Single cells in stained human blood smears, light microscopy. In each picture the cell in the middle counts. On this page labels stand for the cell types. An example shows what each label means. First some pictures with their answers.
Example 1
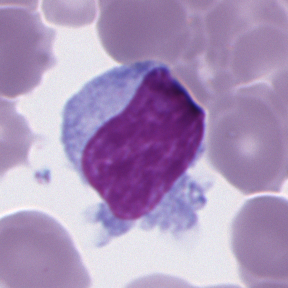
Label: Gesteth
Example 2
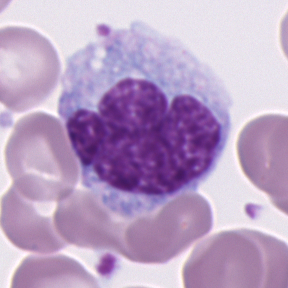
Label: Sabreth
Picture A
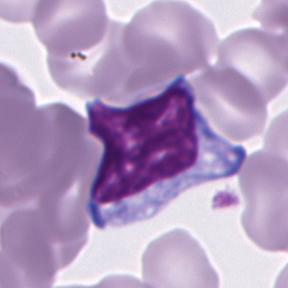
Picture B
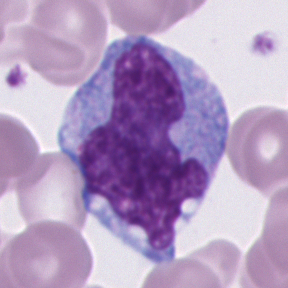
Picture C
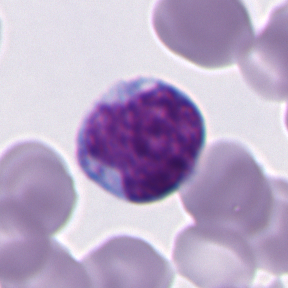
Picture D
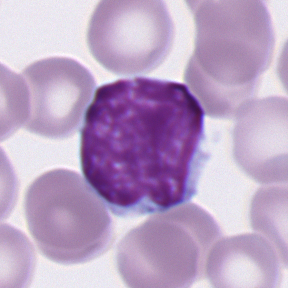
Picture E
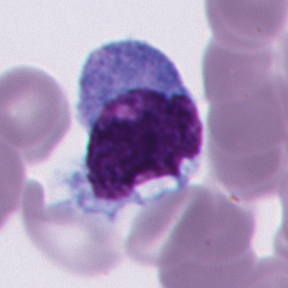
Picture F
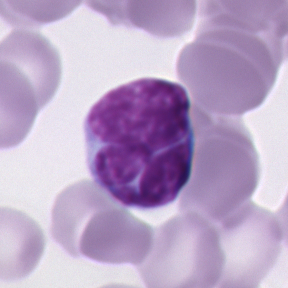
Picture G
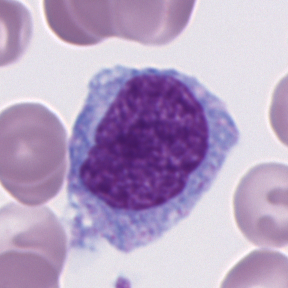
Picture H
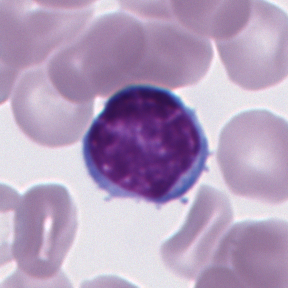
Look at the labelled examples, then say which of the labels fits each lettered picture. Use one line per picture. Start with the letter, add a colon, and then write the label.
A: Gesteth
B: Sabreth
C: Gesteth
D: Gesteth
E: Sabreth
F: Gesteth
G: Sabreth
H: Gesteth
